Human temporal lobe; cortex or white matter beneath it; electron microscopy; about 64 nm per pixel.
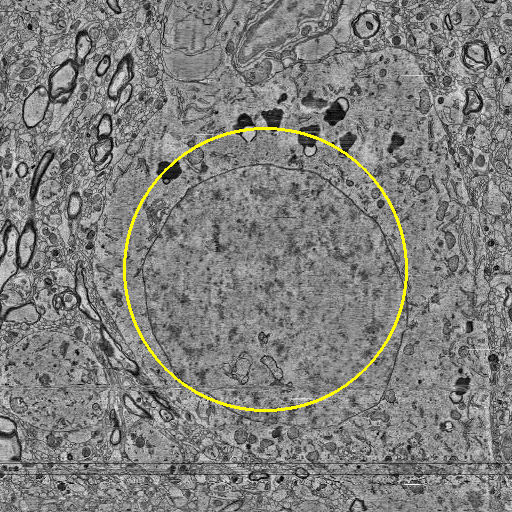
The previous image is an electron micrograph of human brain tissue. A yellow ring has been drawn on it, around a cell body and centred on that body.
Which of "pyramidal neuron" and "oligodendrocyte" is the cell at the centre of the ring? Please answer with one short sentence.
The cell body at the centre of the ring belongs to a pyramidal neuron.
